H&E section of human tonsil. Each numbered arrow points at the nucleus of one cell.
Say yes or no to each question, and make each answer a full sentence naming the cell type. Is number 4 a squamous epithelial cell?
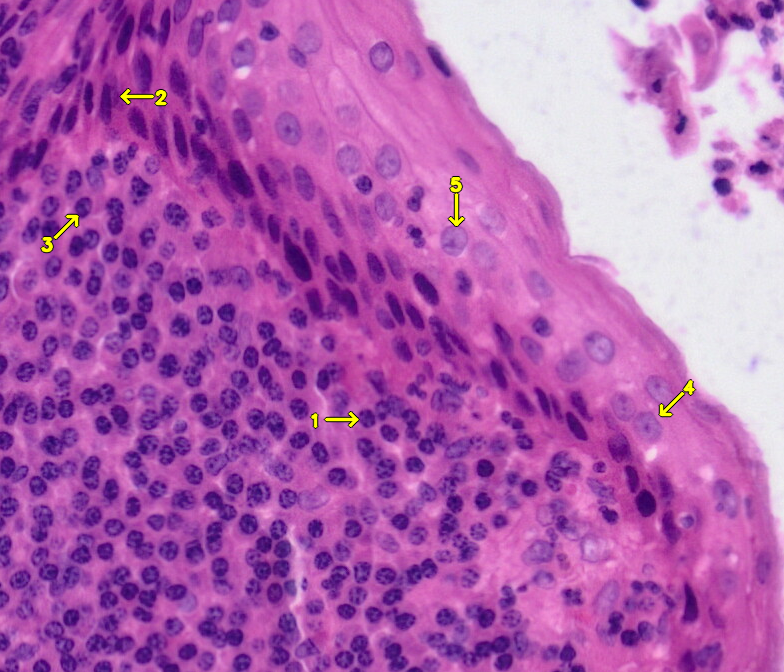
Yes, the cell that has number 4 is a squamous epithelial cell.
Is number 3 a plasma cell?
Yes, the cell to which number 3 refers is a plasma cell.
